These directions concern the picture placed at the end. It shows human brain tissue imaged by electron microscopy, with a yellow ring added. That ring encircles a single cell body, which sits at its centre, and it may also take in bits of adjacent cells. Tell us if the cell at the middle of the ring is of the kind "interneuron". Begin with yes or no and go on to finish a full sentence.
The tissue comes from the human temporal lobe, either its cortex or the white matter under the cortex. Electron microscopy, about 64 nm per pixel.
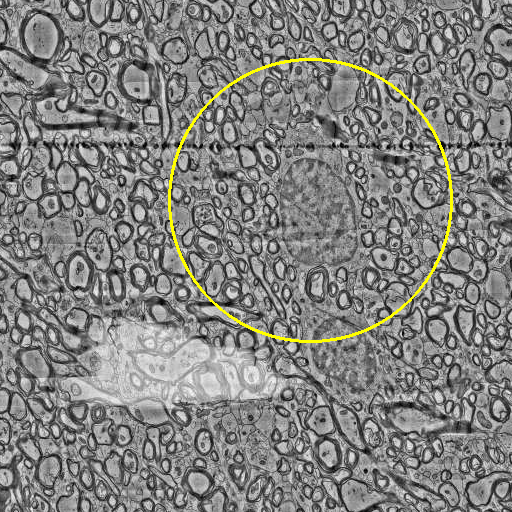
No, the cell sitting at the centre of the yellow ring in the picture belongs to another kind.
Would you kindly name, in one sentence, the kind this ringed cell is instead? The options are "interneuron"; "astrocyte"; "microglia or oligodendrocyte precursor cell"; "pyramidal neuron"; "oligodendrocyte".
Instead, the cell inside the ring is an oligodendrocyte.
